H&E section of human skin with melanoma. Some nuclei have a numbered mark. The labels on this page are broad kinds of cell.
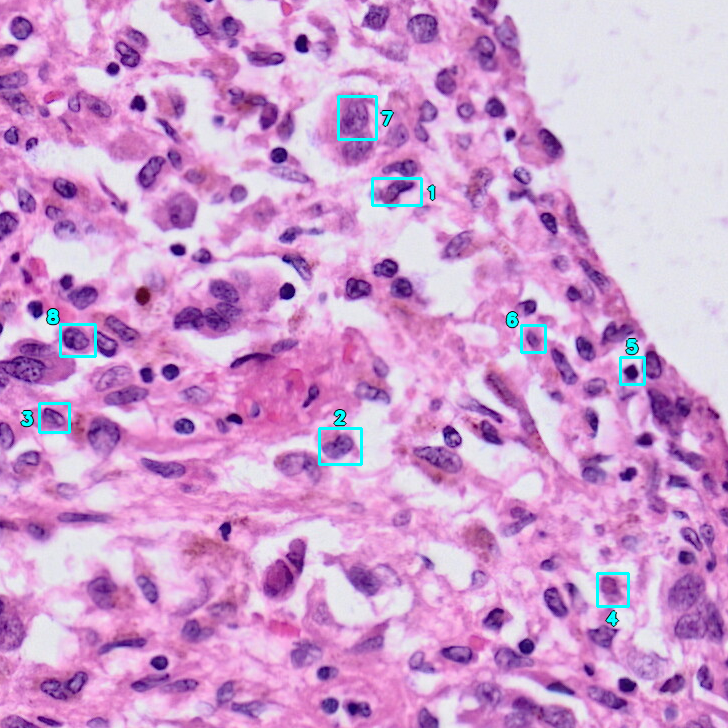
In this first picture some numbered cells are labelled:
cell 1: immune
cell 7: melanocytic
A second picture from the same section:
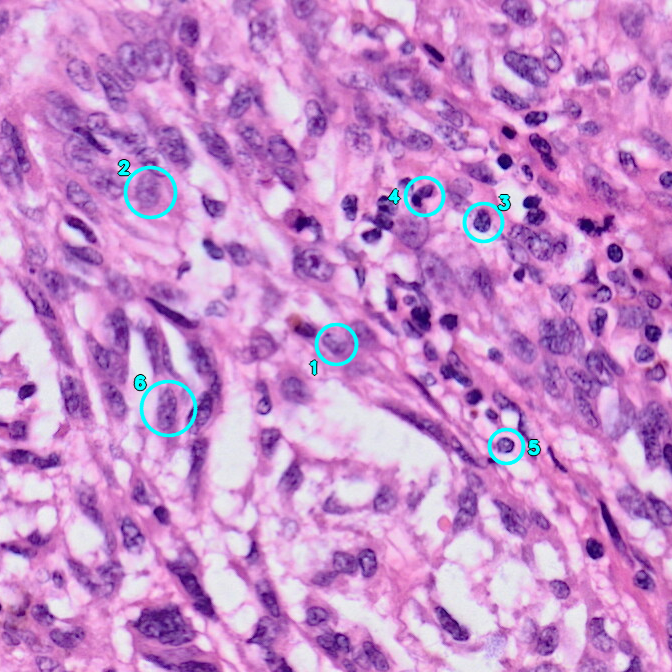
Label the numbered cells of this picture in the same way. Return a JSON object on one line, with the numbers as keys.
{"1": "melanocytic", "2": "melanocytic", "3": "immune", "4": "immune", "5": "immune", "6": "melanocytic"}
